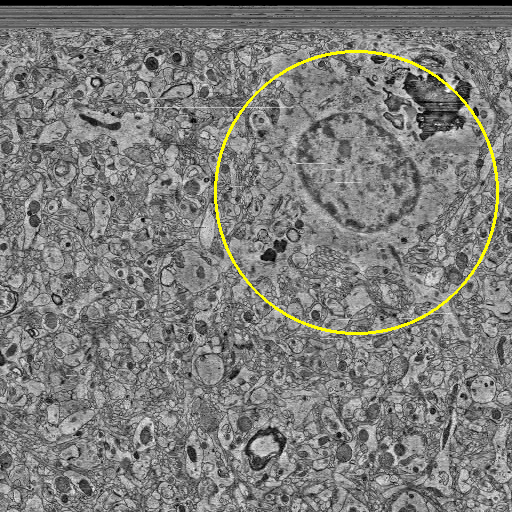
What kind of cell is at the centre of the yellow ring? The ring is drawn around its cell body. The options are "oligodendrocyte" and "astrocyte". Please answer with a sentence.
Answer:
The yellow ring marks the cell body of an astrocyte.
